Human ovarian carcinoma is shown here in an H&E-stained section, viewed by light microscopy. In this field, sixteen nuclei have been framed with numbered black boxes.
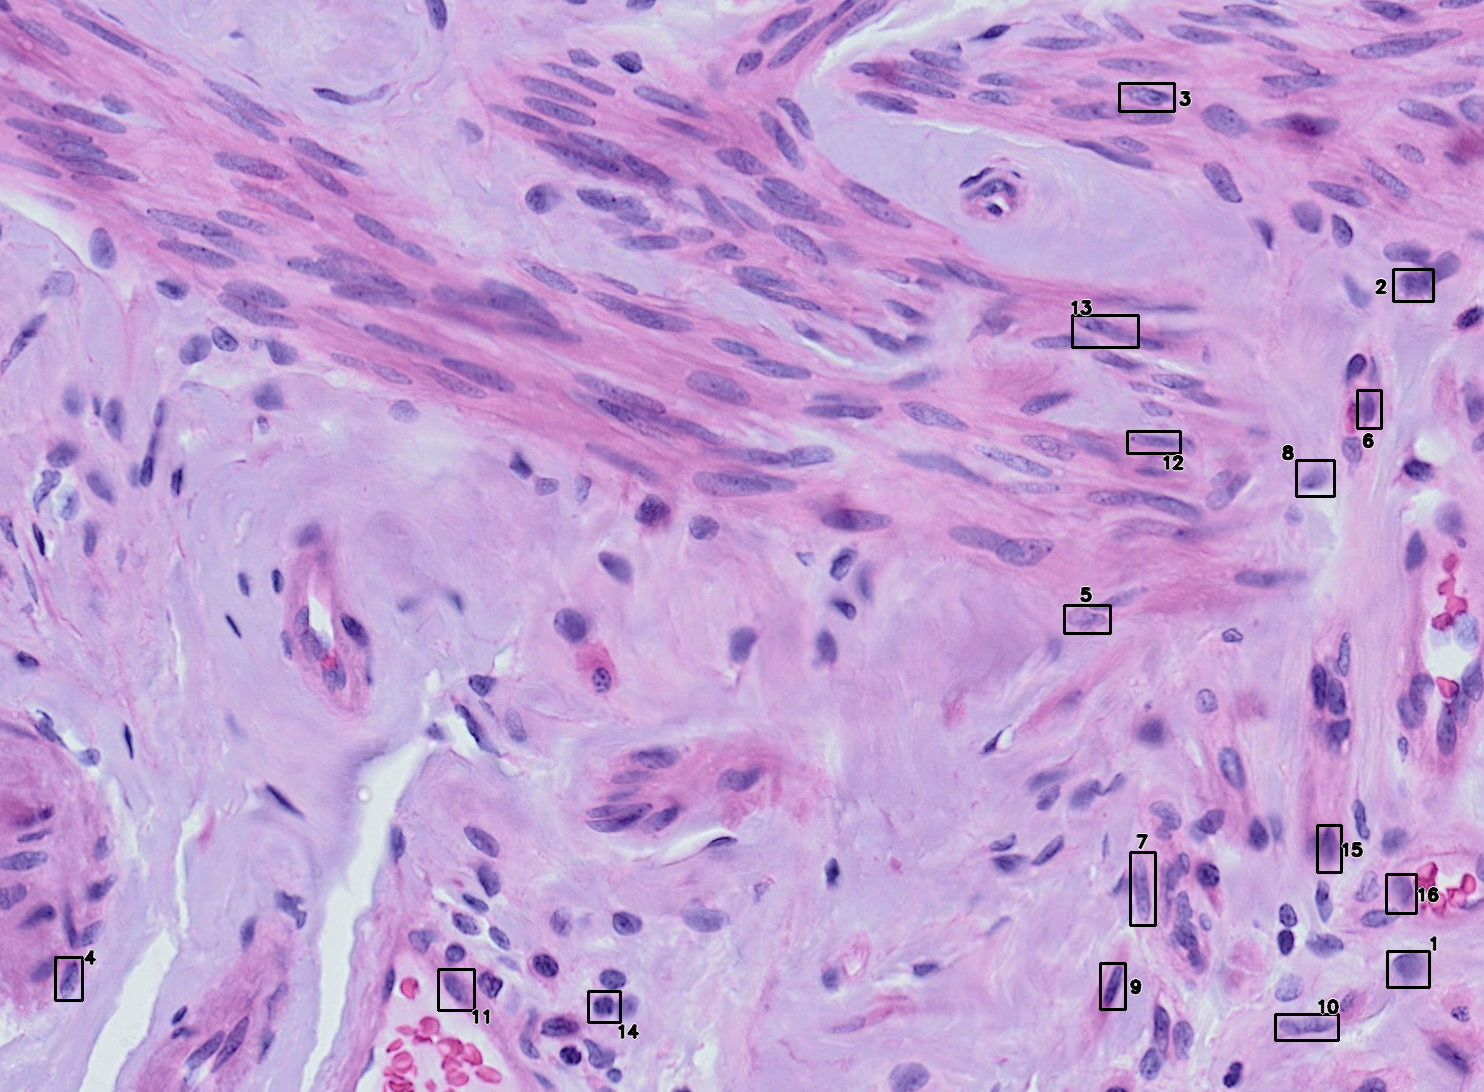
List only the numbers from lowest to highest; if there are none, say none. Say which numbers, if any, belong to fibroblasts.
1, 2, 8, 10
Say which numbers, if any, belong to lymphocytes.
14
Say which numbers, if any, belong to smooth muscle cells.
3, 4, 5, 7, 9, 12, 13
